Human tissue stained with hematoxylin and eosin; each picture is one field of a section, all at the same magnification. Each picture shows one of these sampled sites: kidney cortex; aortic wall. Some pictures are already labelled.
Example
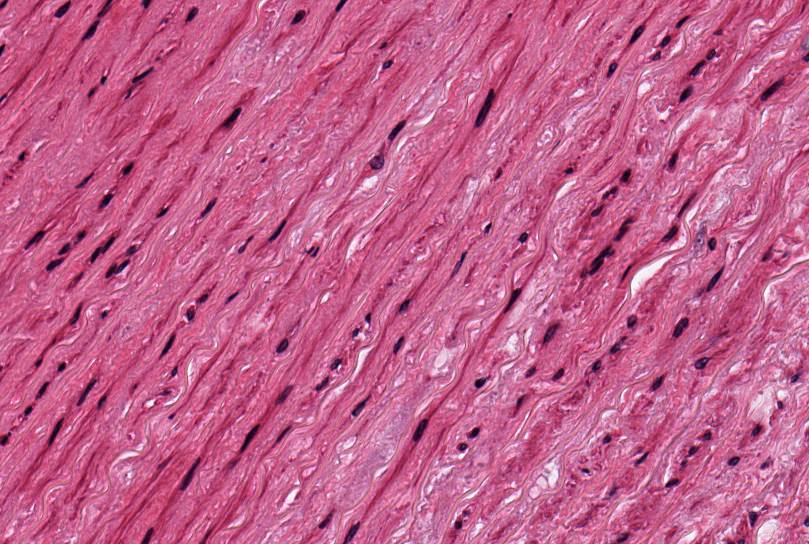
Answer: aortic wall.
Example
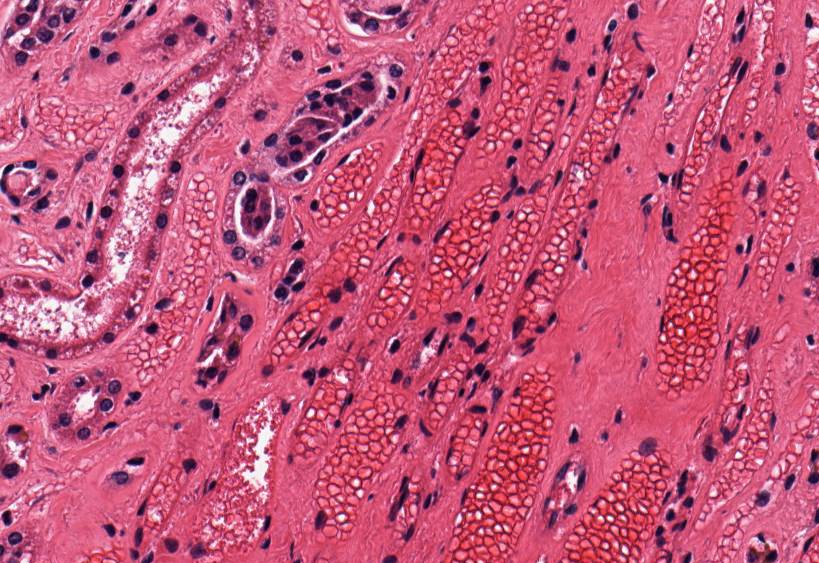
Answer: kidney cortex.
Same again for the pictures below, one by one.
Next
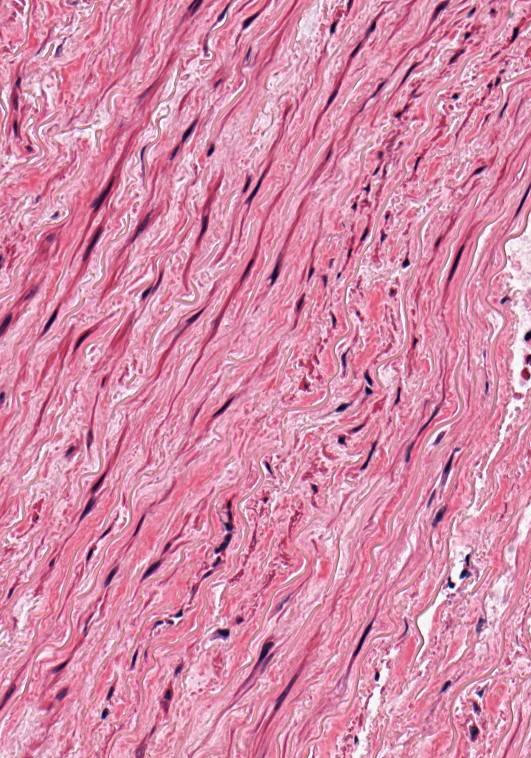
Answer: aortic wall.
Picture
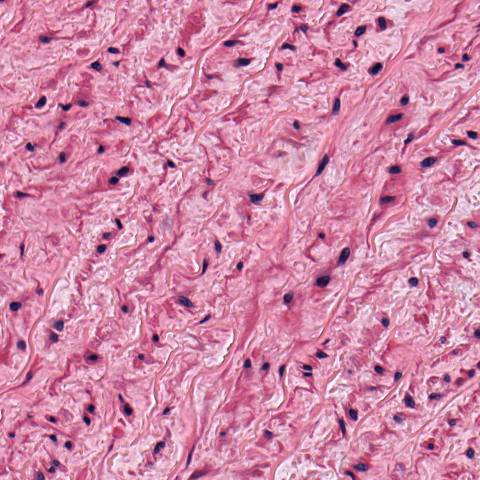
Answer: aortic wall.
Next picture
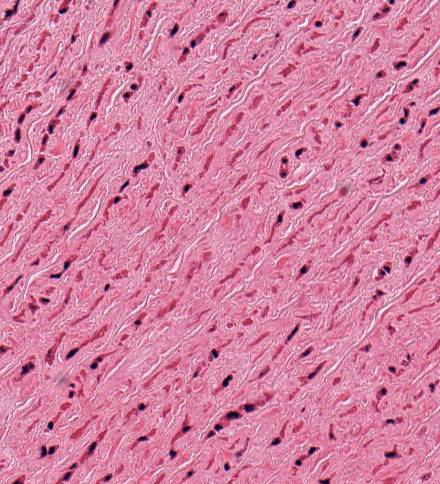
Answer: aortic wall.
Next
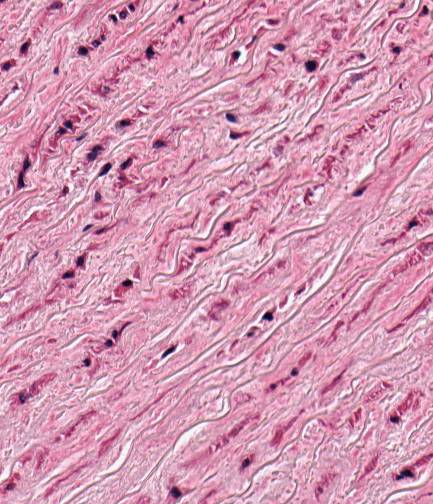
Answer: aortic wall.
